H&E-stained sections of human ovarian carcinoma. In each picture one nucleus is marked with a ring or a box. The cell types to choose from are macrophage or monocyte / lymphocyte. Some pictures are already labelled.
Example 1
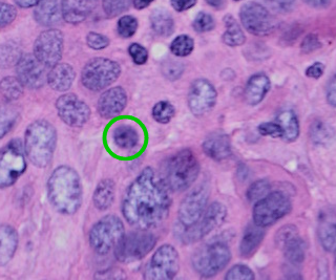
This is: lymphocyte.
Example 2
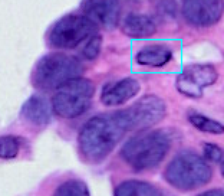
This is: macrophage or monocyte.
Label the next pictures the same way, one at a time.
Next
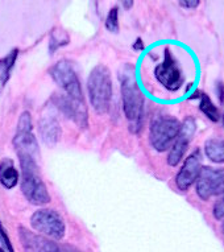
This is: lymphocyte.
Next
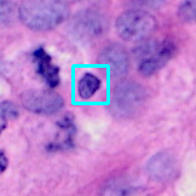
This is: lymphocyte.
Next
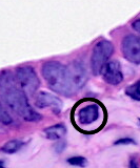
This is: lymphocyte.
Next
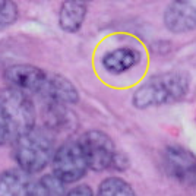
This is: lymphocyte.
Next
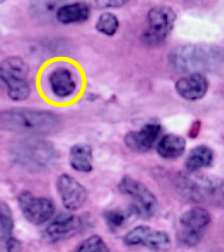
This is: lymphocyte.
